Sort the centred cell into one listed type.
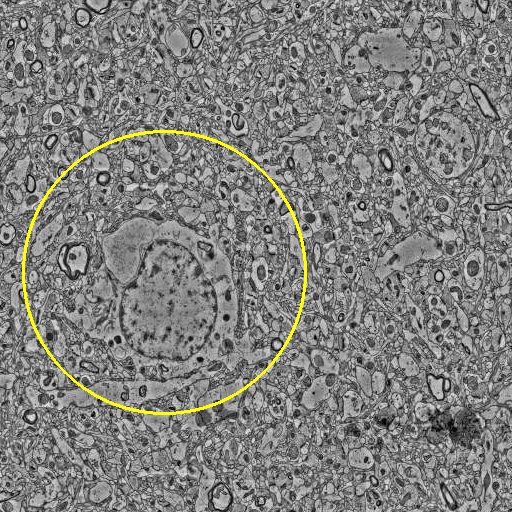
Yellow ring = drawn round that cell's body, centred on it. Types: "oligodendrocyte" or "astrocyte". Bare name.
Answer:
astrocyte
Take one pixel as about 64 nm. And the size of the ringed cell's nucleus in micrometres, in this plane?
In this plane the nucleus measures roughly 8 by 6 micrometers.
